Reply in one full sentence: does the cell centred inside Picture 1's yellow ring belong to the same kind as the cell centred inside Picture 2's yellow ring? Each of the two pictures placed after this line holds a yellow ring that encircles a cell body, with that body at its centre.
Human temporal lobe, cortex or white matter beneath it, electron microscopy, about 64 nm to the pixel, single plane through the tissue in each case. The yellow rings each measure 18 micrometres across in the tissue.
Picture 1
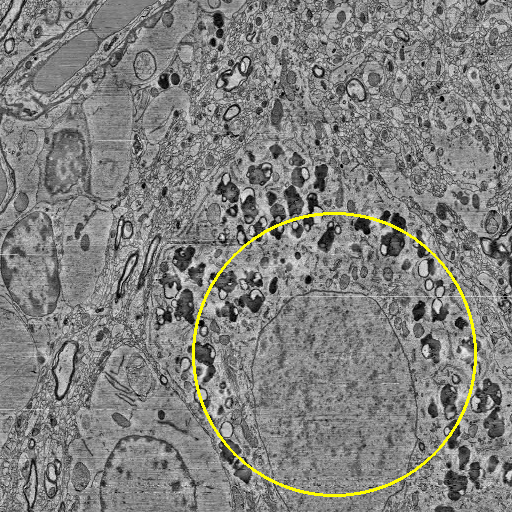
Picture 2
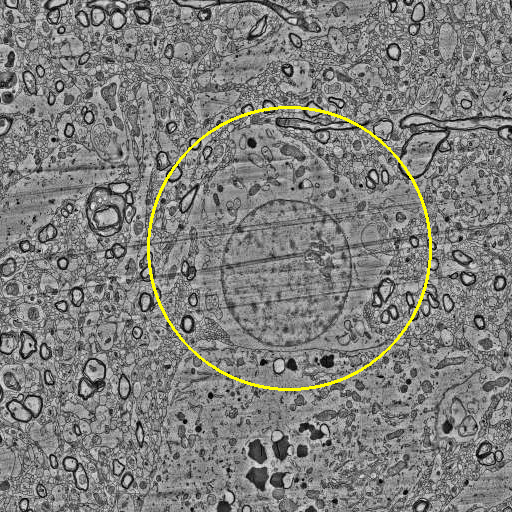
No, the ring-centred cells in Picture 1 and Picture 2 are of two separate kinds.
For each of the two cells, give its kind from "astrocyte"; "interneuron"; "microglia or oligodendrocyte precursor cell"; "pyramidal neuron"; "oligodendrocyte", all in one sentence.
The first picture has a pyramidal neuron in its ring, the second has an astrocyte.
